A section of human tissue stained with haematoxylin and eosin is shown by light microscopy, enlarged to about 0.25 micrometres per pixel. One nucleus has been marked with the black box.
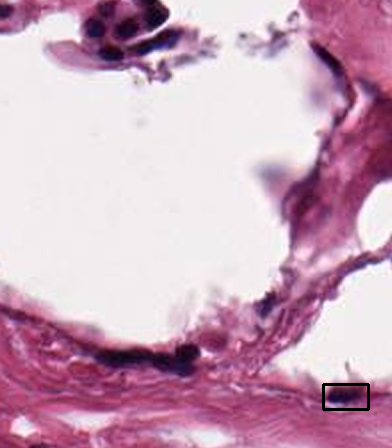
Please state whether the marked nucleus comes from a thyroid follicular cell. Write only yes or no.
no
